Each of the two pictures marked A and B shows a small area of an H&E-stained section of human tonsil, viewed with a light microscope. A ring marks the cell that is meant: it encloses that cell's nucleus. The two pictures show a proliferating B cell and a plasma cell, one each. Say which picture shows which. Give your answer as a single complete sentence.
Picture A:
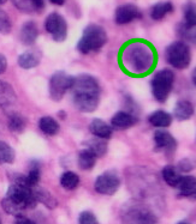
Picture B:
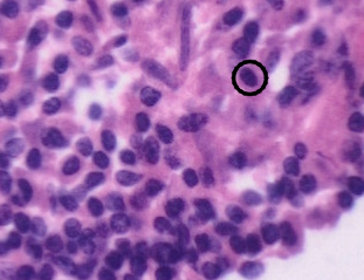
It is picture A that shows a proliferating B cell, and picture B that shows a plasma cell.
